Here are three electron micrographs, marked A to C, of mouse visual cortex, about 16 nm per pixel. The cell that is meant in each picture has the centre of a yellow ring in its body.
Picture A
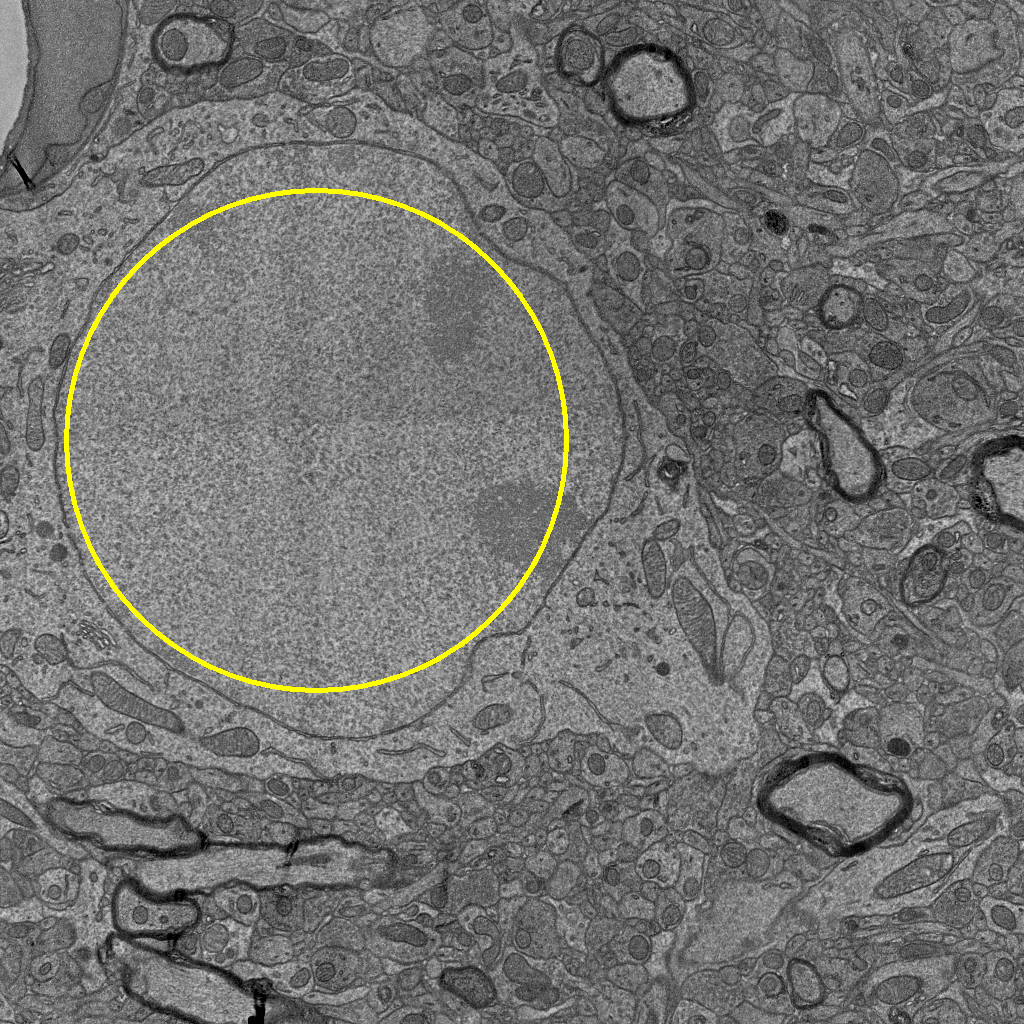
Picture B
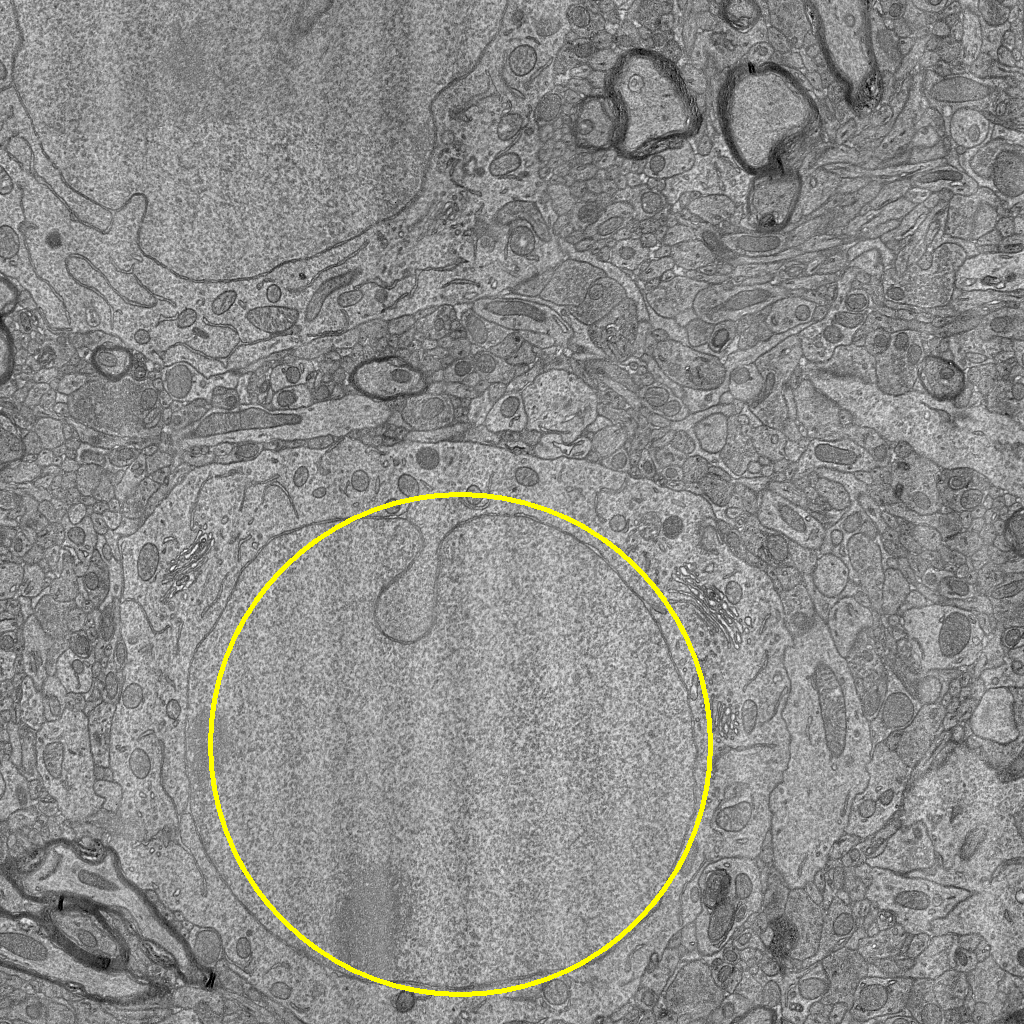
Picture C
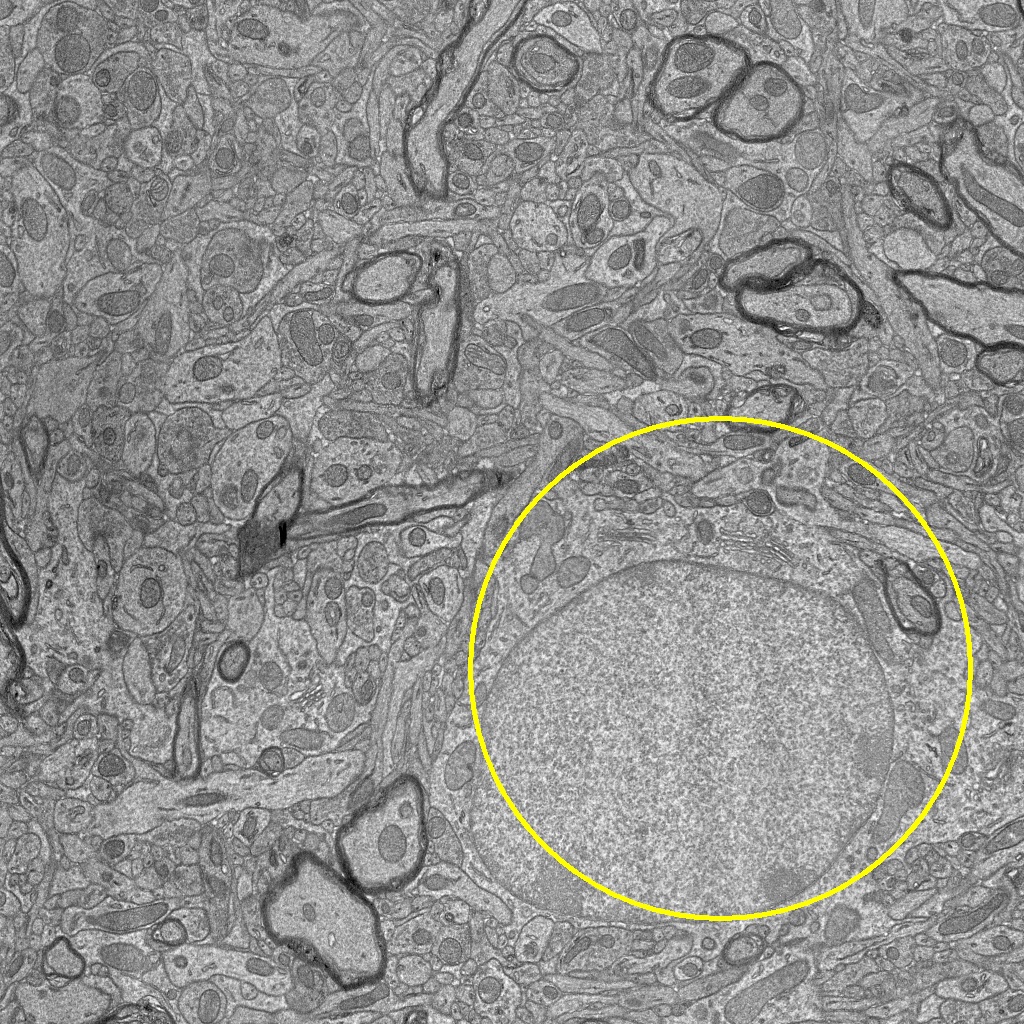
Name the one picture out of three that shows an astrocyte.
The cell in picture C is the astrocyte.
